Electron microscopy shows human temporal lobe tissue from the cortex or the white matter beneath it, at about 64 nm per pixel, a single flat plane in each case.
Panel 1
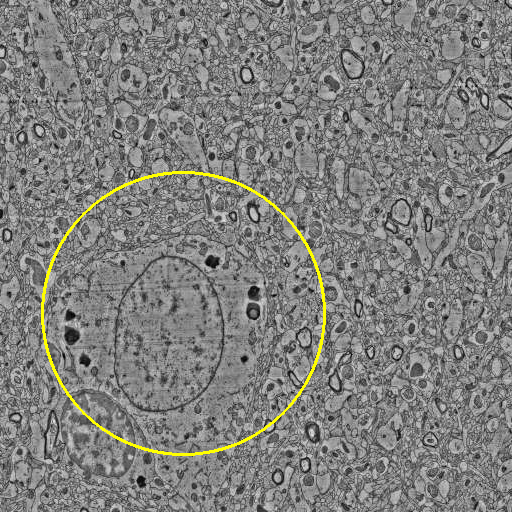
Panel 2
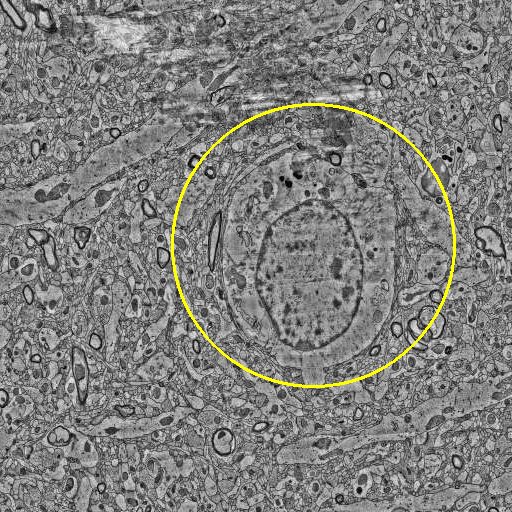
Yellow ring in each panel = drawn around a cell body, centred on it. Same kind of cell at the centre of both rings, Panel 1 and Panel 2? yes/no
no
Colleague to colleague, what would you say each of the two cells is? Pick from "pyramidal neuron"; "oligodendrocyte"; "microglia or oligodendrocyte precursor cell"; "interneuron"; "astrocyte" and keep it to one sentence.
The cell in the first picture is a pyramidal neuron; the second picture's cell is an astrocyte.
